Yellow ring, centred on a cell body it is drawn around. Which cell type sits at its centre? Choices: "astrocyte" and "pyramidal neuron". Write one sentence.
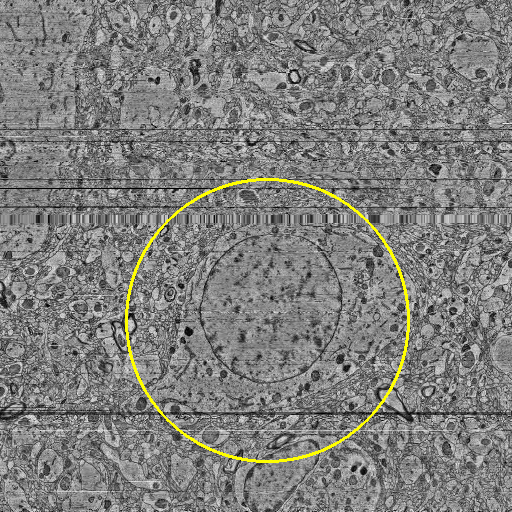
At the centre of the ring sits a pyramidal neuron.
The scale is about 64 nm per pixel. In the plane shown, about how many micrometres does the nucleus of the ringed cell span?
Roughly 10 micrometres across for the nucleus, in this plane.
